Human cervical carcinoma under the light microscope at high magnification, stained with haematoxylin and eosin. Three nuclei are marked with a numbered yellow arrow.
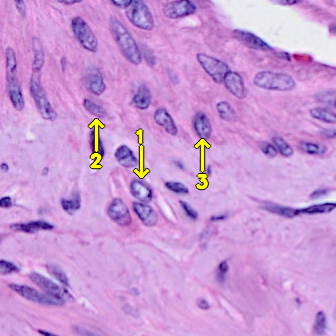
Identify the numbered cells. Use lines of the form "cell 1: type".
cell 1: endothelial cell
cell 2: smooth muscle cell
cell 3: smooth muscle cell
